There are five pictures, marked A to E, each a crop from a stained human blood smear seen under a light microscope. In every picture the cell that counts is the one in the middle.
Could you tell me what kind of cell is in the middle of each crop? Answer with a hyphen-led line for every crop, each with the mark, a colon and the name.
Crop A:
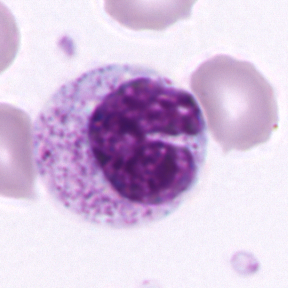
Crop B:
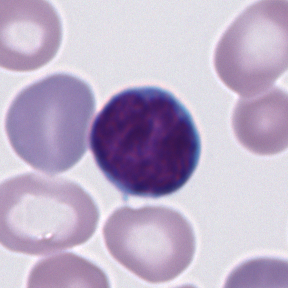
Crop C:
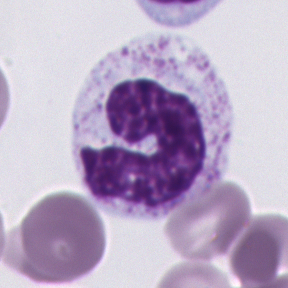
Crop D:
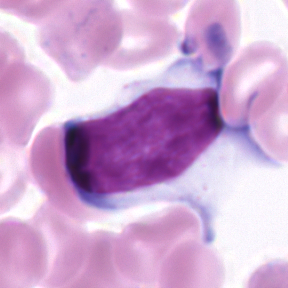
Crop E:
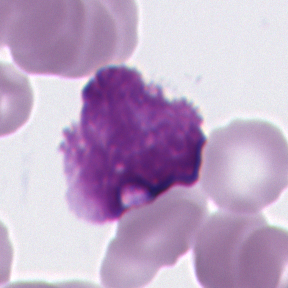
- A: band neutrophil
- B: typical lymphocyte
- C: band neutrophil
- D: typical lymphocyte
- E: smudge cell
